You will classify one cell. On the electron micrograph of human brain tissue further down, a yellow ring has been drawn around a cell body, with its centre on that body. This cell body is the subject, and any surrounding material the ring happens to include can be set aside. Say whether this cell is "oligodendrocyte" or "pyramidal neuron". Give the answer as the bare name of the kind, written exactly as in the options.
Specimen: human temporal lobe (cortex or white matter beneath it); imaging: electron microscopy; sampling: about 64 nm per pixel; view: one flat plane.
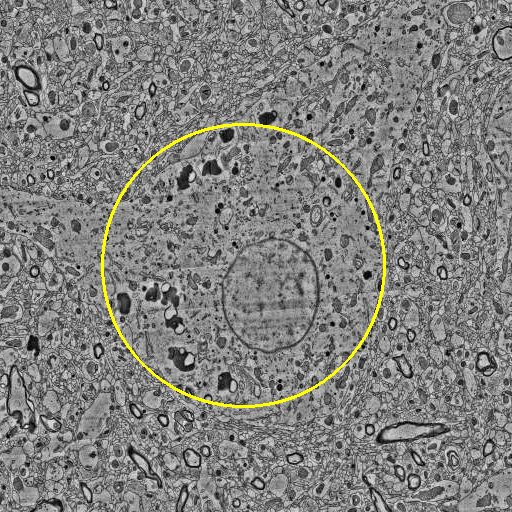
pyramidal neuron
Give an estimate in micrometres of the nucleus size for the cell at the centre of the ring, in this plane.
The nucleus works out at approximately 7 by 6 micrometres in this plane.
